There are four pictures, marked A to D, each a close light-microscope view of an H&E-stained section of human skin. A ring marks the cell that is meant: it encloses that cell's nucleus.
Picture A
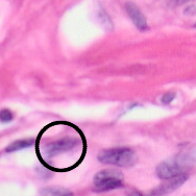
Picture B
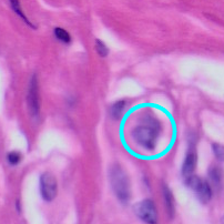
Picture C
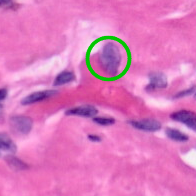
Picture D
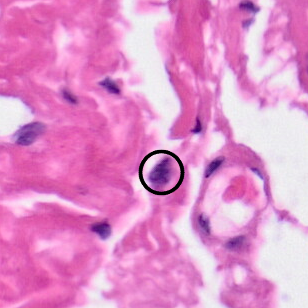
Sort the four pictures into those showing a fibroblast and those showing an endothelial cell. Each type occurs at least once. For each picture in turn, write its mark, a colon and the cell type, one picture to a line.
A: endothelial cell
B: endothelial cell
C: endothelial cell
D: fibroblast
